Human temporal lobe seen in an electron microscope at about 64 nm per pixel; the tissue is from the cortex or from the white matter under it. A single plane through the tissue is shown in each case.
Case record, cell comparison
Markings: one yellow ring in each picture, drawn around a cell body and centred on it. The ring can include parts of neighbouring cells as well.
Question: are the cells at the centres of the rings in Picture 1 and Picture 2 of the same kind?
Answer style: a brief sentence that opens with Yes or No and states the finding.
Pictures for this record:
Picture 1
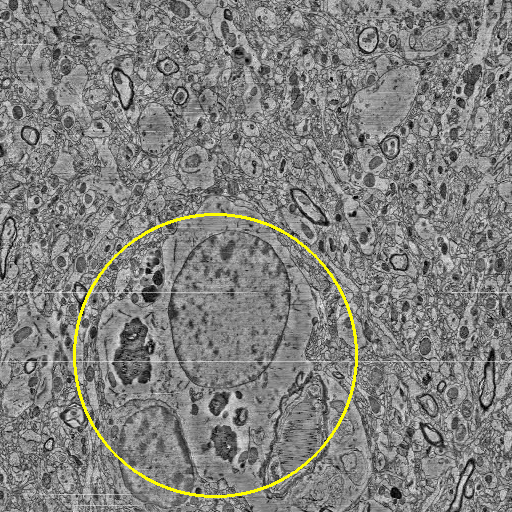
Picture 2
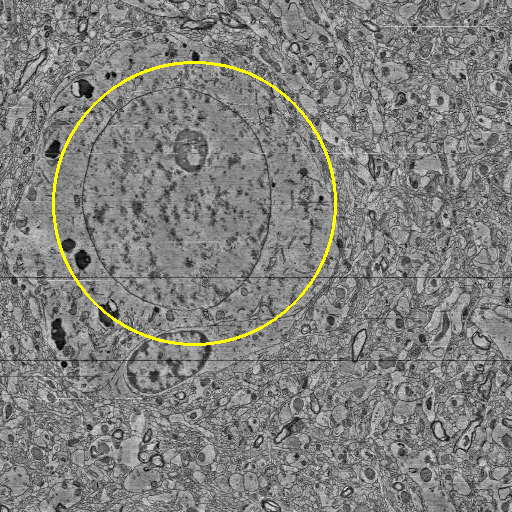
No, the cells in Picture 1 and Picture 2 are of two kinds.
